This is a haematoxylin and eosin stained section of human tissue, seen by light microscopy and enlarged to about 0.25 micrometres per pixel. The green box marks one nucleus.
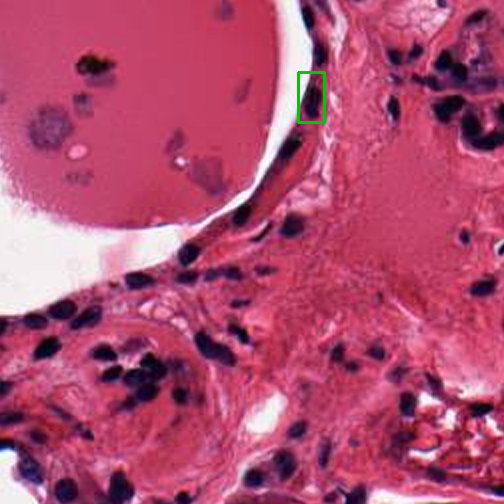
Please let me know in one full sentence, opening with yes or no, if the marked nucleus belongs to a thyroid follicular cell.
Yes, belonging to a thyroid follicular cell is the marked nucleus.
